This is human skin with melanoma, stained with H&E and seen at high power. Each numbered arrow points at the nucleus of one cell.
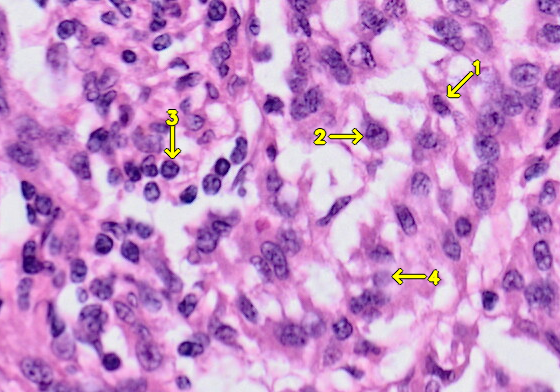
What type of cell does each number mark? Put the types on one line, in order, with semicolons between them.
melanoma cell; melanoma cell; lymphocyte; melanoma cell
